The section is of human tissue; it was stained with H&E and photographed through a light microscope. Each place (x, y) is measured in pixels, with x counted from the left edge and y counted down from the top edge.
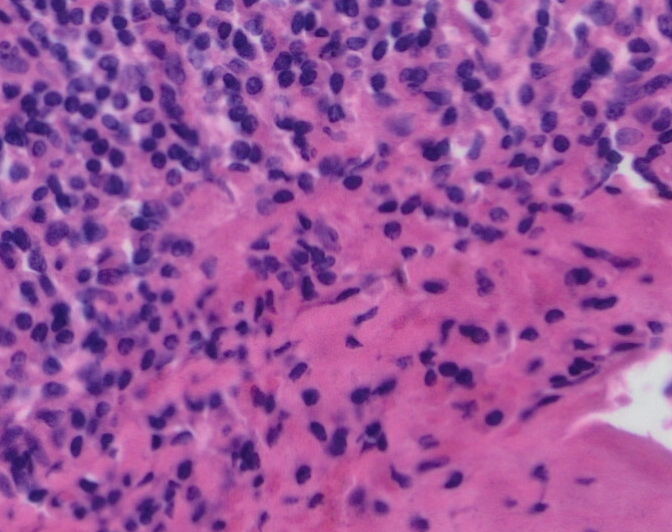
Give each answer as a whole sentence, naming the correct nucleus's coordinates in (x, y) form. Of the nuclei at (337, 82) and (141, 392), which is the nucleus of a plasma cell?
The nucleus situated at (337, 82) is the one belonging to a plasma cell.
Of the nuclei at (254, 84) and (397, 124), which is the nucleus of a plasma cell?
Of these two nuclei, only the one at (254, 84) belongs to a plasma cell.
